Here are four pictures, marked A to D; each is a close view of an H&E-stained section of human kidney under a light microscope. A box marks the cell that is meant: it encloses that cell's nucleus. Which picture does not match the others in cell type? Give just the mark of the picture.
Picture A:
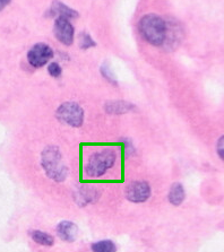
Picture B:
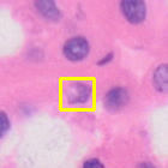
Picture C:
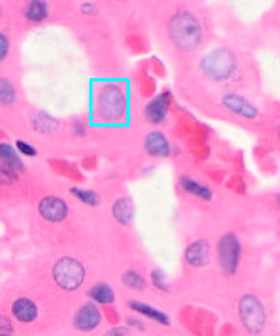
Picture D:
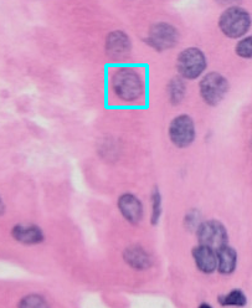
D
